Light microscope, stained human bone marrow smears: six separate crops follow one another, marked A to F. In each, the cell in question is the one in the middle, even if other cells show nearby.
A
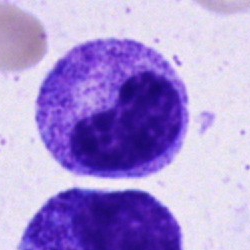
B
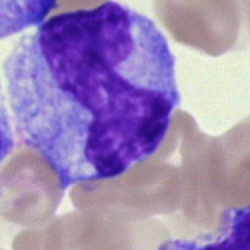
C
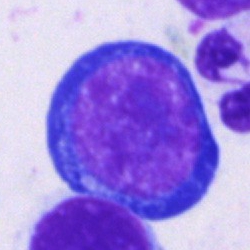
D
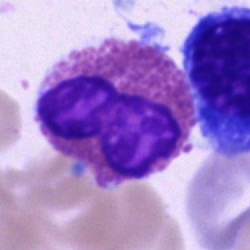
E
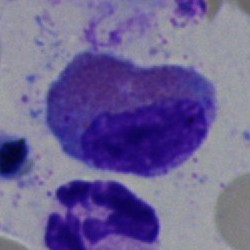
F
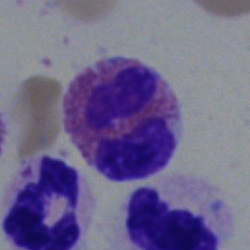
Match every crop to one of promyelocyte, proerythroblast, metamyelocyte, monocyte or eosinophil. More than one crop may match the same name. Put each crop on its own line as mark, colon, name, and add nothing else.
A: metamyelocyte
B: monocyte
C: proerythroblast
D: eosinophil
E: eosinophil
F: eosinophil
